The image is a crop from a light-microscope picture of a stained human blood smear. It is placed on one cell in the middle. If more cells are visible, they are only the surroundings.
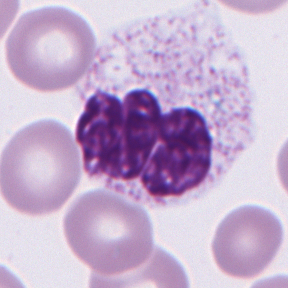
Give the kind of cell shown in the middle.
segmented neutrophil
